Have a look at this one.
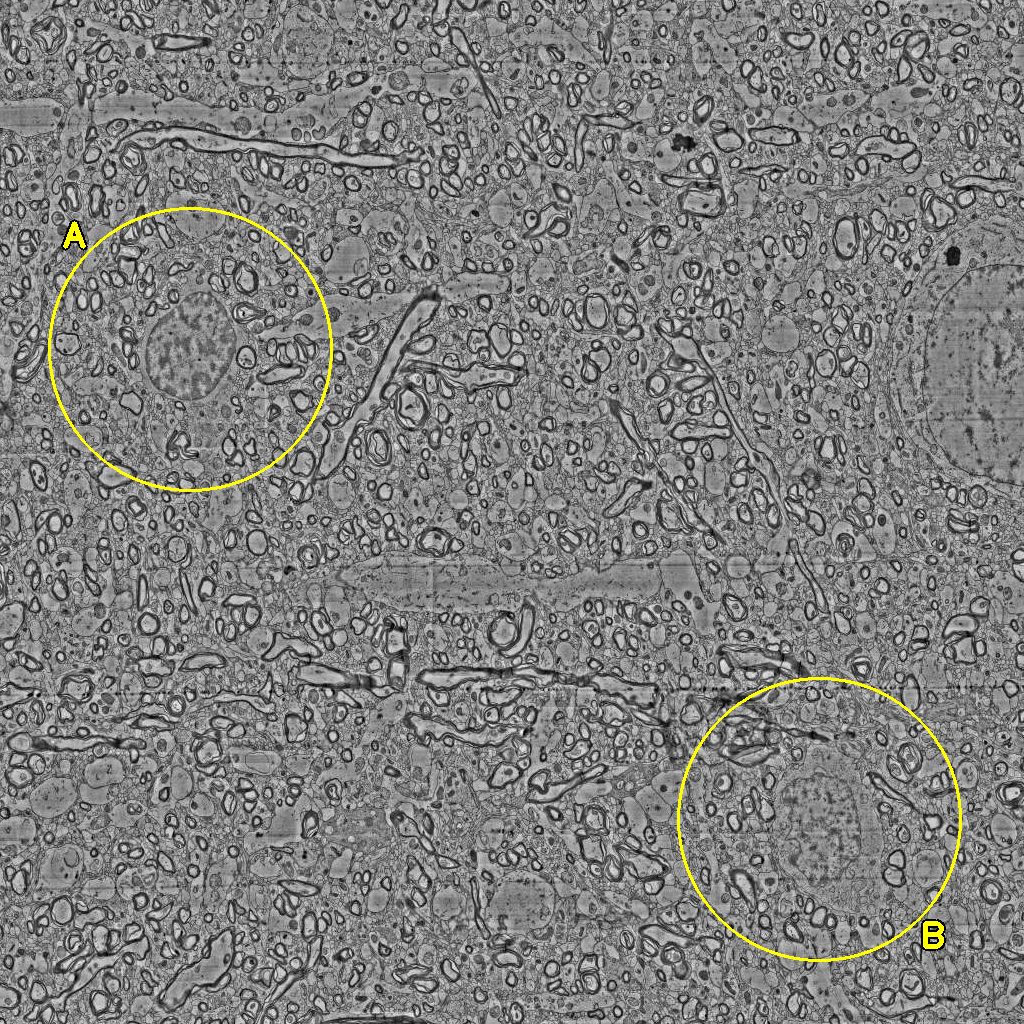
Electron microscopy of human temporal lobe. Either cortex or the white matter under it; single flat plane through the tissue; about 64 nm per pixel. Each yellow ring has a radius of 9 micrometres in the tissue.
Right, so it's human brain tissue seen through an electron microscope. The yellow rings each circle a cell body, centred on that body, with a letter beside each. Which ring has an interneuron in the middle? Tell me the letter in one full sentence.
That kind of cell is sitting in the middle of ring B there.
